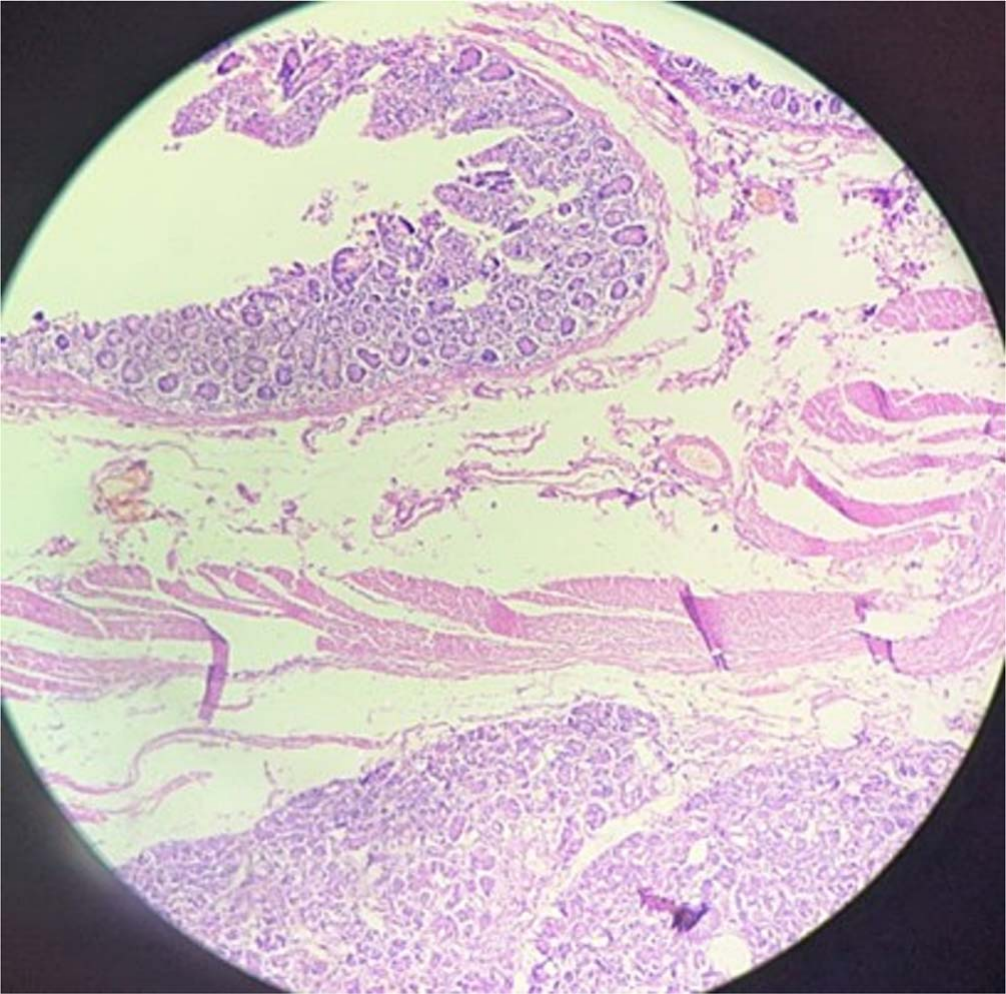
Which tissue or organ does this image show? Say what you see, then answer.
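Ectopic pancreatic tissue. The lower part of the field is filled with densely packed small glandular units with purple-staining cells. Bundles of pink smooth muscle run across the middle, separating the lower glandular tissue from the mucosa above. The upper part shows a mucosal layer of round glands cut in cross-section.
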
